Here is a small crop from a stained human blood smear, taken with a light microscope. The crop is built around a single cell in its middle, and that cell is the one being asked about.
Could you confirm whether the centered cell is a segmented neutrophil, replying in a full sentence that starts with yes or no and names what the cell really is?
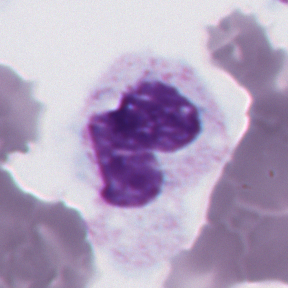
Yes, a segmented neutrophil is present in the middle of the crop.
